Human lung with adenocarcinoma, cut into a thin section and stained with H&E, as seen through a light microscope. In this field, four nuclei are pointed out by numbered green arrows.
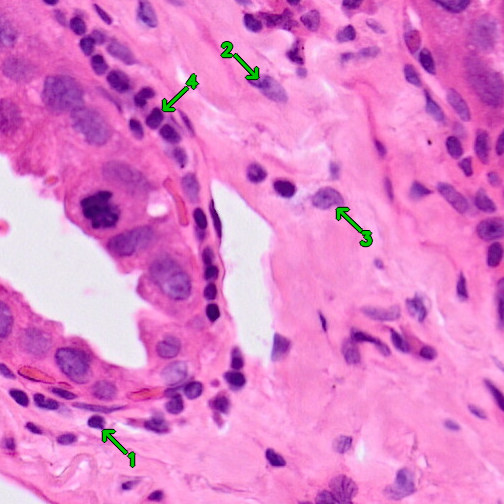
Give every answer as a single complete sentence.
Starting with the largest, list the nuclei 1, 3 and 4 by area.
From largest to smallest, the order is 3, 4, 1.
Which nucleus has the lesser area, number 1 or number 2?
Number 1 is smaller, since number 2 takes up about 2.5 times as much area.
